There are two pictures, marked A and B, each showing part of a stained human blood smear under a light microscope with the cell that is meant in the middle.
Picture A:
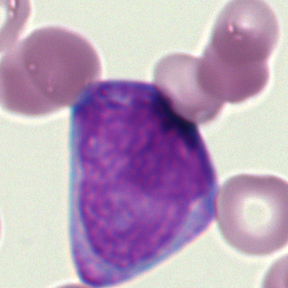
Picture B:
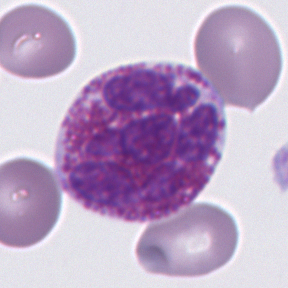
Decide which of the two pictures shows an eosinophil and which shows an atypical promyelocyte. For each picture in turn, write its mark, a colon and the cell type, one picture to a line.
A: atypical promyelocyte
B: eosinophil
